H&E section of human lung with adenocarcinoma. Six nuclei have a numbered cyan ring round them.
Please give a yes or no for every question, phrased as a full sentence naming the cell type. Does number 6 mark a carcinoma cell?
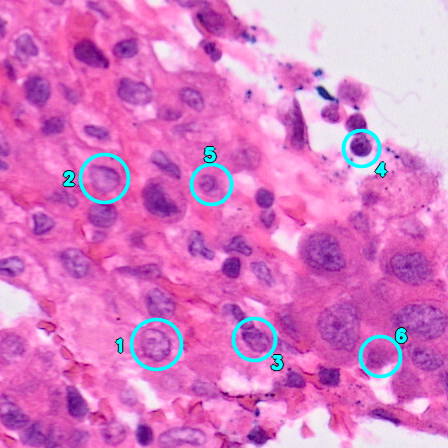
Yes, the cell identified by number 6 is a carcinoma cell.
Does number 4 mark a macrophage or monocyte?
No, the right label for cell 4 is a lymphocyte rather than a macrophage or monocyte.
